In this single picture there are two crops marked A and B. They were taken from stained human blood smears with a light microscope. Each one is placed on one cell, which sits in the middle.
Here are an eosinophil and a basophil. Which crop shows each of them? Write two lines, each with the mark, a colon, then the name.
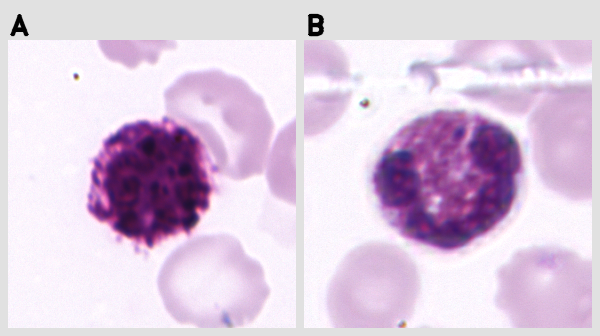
A: basophil
B: eosinophil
